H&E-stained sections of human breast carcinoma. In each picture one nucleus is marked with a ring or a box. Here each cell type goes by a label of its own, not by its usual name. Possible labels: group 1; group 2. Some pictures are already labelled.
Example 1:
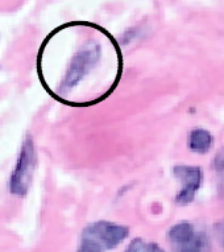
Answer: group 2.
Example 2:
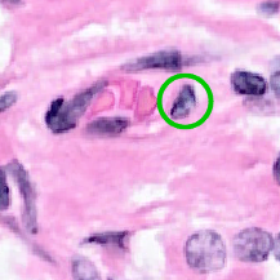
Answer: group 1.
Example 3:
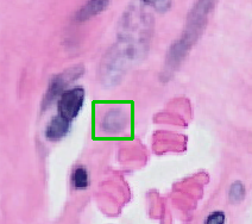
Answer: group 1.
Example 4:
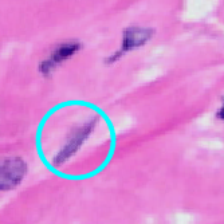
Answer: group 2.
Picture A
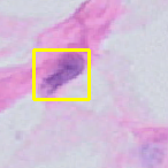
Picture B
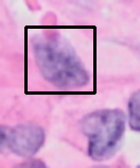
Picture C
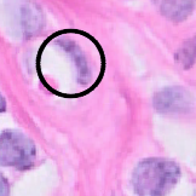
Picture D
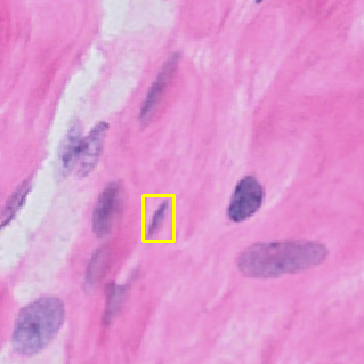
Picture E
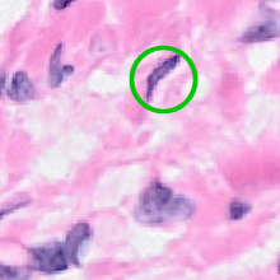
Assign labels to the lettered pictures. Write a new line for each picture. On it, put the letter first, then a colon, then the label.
A: group 2.
B: group 1.
C: group 1.
D: group 2.
E: group 2.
